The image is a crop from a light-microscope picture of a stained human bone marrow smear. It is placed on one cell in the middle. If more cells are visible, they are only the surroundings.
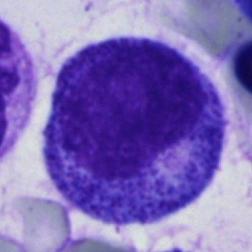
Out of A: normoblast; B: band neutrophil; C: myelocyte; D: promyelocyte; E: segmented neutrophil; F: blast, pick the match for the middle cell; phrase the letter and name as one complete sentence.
Here the central cell is a promyelocyte, and option D is correct.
